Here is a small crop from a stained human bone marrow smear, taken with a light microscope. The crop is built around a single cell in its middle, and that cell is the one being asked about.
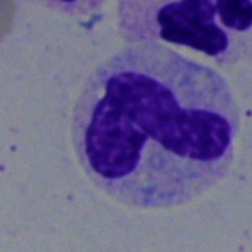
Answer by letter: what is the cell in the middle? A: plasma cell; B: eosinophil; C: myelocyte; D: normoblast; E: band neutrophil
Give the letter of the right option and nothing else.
E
